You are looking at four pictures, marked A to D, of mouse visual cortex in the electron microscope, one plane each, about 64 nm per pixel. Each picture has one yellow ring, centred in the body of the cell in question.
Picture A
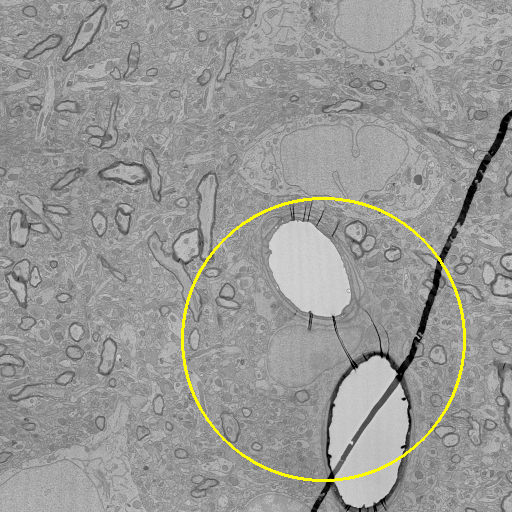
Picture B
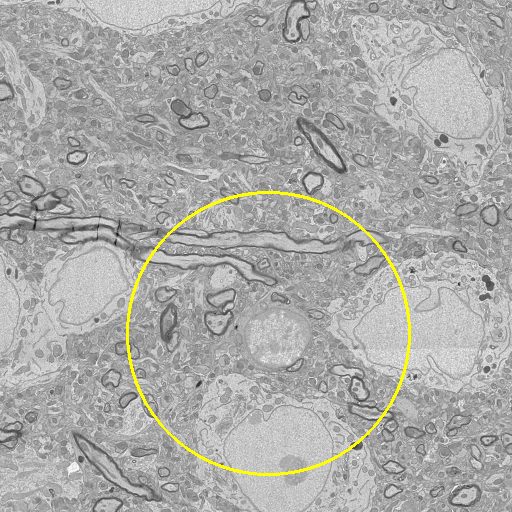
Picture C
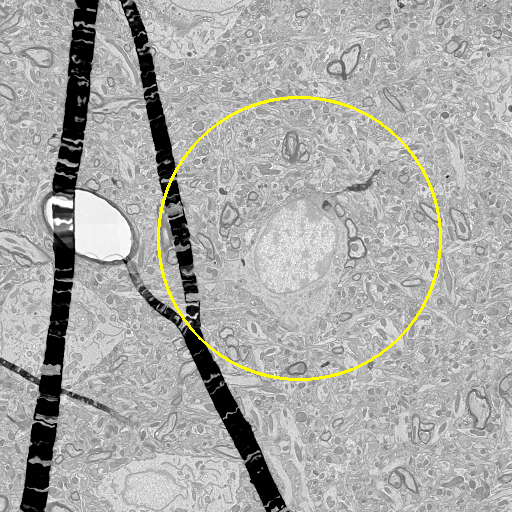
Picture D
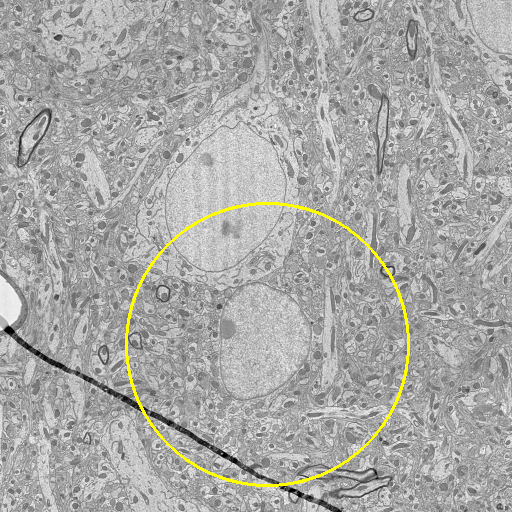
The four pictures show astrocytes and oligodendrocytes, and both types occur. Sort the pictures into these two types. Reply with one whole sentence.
Pictures A and D show astrocytes; pictures B and C show oligodendrocytes.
